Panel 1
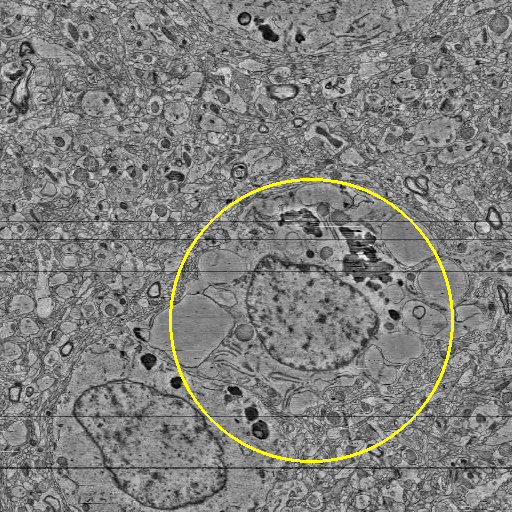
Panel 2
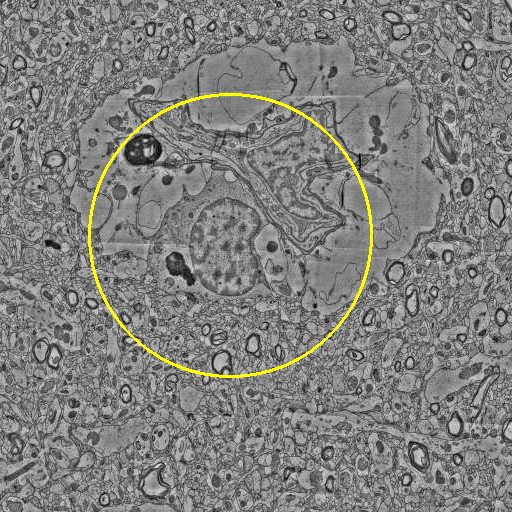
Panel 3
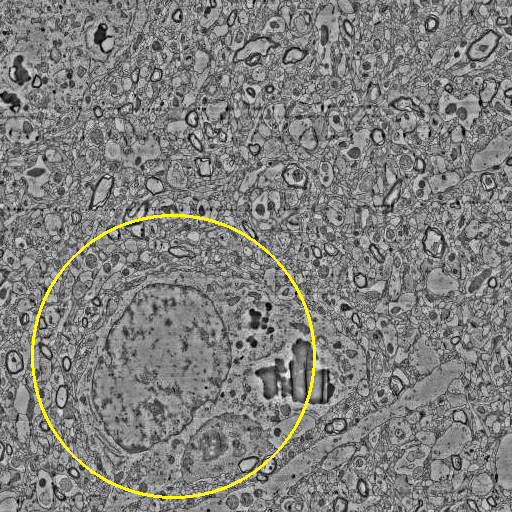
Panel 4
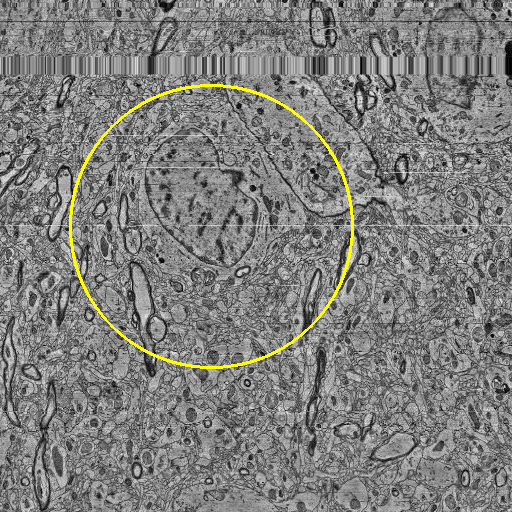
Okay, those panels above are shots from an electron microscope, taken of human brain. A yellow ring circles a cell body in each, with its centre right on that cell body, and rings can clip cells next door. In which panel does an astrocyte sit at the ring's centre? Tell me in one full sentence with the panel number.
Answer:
The cell you asked for sits at the ring's centre in panel 1.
